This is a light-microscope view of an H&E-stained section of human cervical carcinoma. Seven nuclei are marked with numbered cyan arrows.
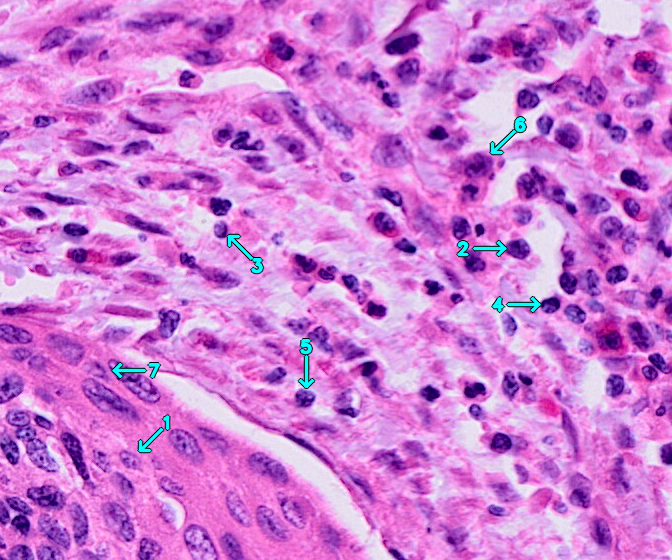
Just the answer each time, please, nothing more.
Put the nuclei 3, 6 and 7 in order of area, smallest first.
3, 7, 6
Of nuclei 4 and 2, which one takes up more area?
2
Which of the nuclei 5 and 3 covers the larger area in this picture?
5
